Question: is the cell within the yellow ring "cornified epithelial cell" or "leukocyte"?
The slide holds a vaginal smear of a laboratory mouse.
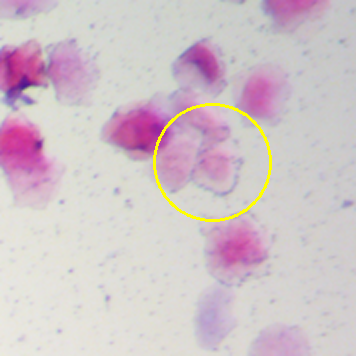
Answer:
cornified epithelial cell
